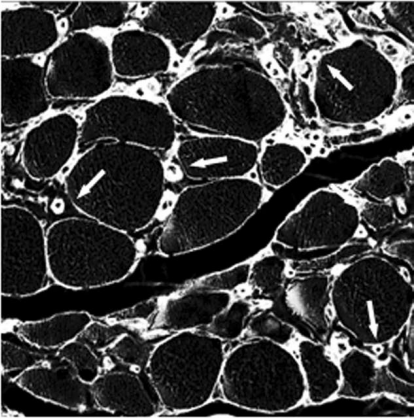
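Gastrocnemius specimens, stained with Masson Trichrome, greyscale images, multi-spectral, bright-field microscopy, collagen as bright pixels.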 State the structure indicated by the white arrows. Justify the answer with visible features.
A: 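Microvessels. Small round ring-shaped profiles with bright walls lie at the arrow tips. They sit within the broad bright tissue between the large black profiles.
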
